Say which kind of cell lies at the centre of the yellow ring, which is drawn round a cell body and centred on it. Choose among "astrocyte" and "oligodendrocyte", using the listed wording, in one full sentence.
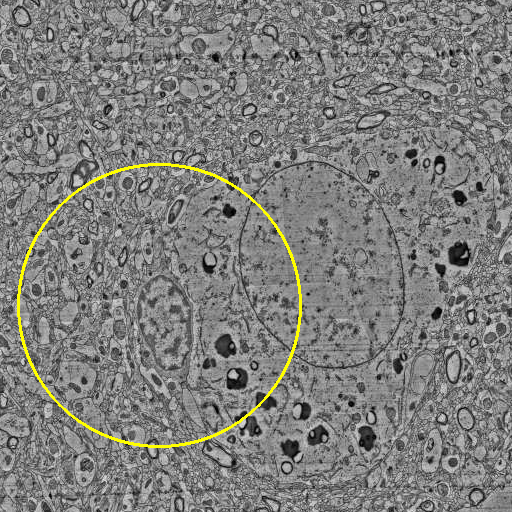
Going by the list, the cell at the yellow ring's centre is an oligodendrocyte.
